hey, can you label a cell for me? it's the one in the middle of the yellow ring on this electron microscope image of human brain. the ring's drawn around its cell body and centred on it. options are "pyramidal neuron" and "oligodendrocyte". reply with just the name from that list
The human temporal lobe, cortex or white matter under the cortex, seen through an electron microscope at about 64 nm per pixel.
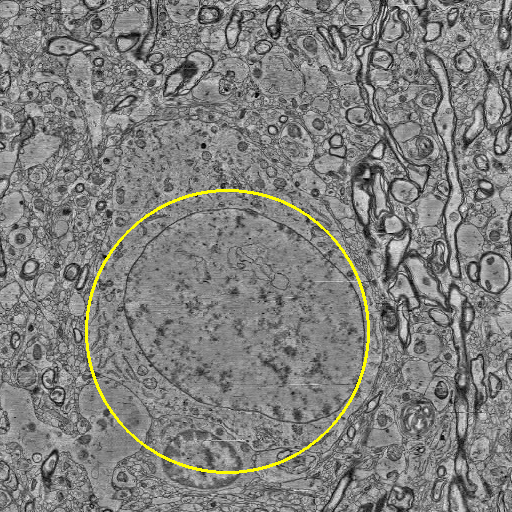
pyramidal neuron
